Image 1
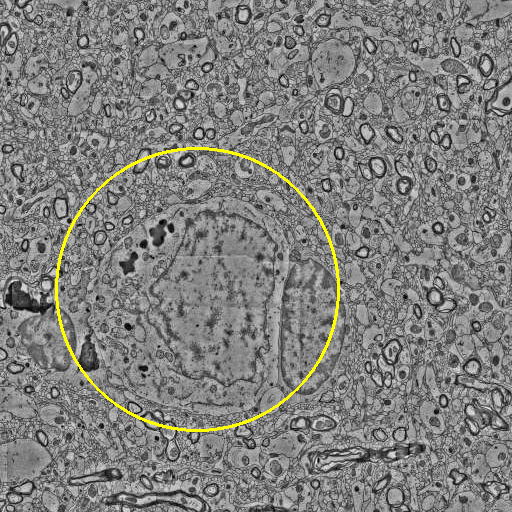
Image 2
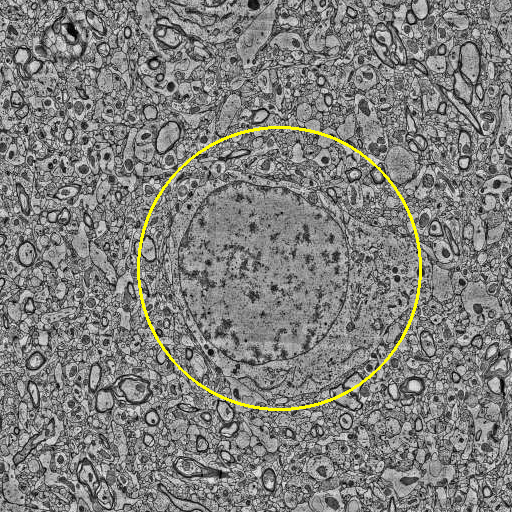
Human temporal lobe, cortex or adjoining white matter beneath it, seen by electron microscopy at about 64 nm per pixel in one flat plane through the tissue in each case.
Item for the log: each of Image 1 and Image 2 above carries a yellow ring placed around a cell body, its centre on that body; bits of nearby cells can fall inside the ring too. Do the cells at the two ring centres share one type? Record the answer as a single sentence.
No, the two cells at the ring centres in Image 1 and Image 2 are of two types.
